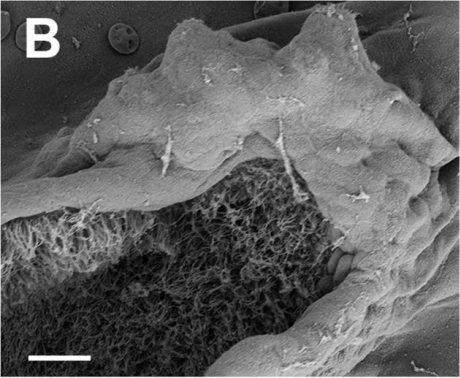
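A smooth, lobed flap of tissue with an uneven, knobbed edge arches across the upper part of the frame. Below and behind it, the inner surface is carpeted by a dense, fibrous mat of fine cilia that appears as a felt-like texture. At the left edge, the cilia appear to stand more upright in tufts. The smooth outer surface contrasts sharply with the densely ciliated lining underneath.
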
